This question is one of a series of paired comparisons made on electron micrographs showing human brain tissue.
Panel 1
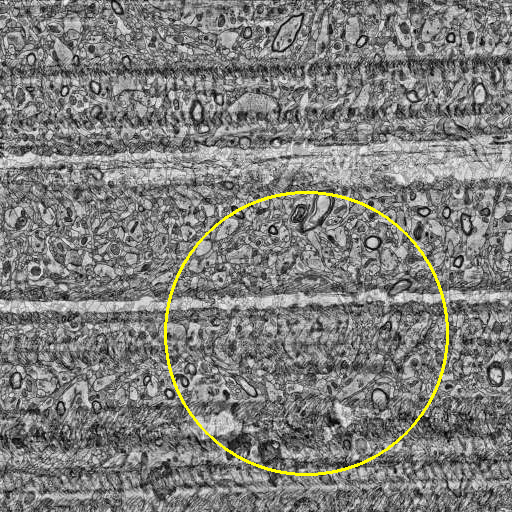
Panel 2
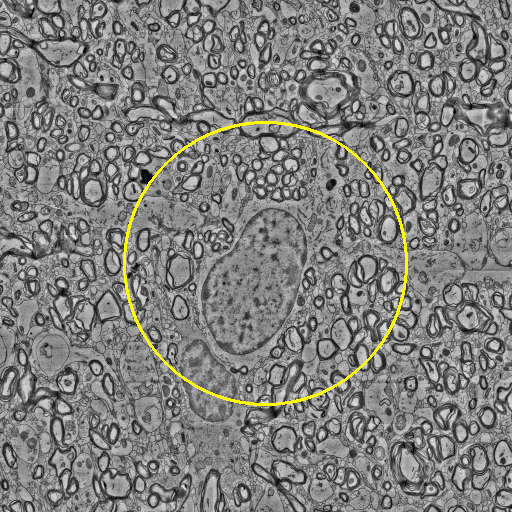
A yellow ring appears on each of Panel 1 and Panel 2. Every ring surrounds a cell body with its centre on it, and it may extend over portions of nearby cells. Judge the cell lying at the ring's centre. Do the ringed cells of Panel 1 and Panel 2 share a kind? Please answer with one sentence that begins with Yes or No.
Yes, the ring-centre cell in Panel 1 and the one in Panel 2 are of one kind.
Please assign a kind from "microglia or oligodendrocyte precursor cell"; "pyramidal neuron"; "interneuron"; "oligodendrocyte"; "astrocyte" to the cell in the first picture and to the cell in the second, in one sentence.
Each of the two rings surrounds a microglial cell or oligodendrocyte precursor cell.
